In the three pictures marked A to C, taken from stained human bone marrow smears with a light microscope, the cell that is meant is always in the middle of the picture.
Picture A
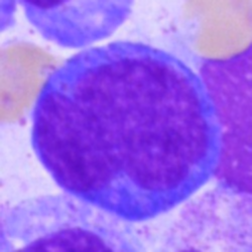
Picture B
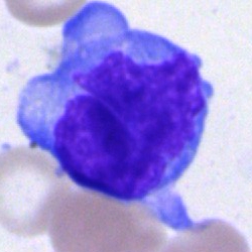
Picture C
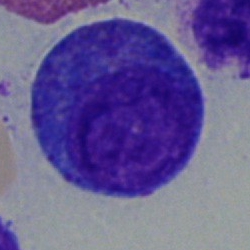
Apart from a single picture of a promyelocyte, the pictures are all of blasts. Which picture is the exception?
C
